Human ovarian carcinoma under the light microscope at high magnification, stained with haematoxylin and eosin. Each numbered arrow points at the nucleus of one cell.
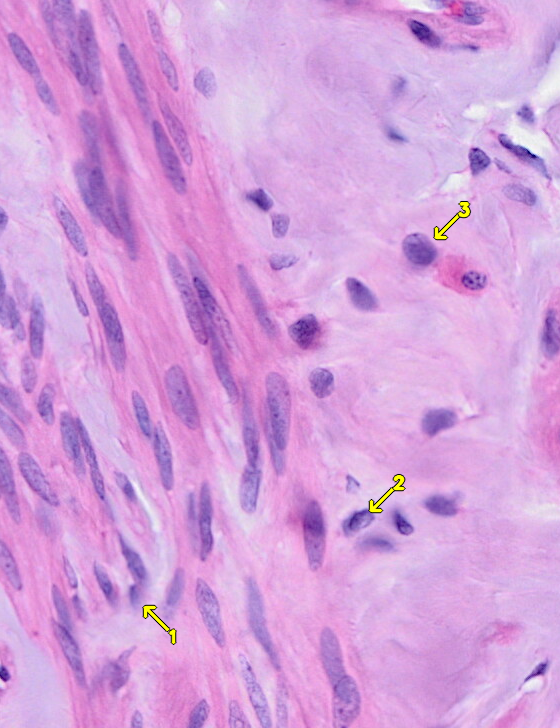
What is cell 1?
smooth muscle cell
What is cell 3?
fibroblast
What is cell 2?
fibroblast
